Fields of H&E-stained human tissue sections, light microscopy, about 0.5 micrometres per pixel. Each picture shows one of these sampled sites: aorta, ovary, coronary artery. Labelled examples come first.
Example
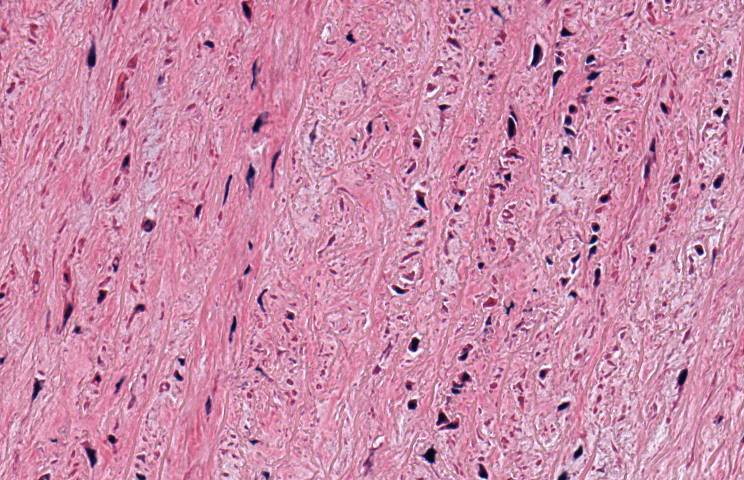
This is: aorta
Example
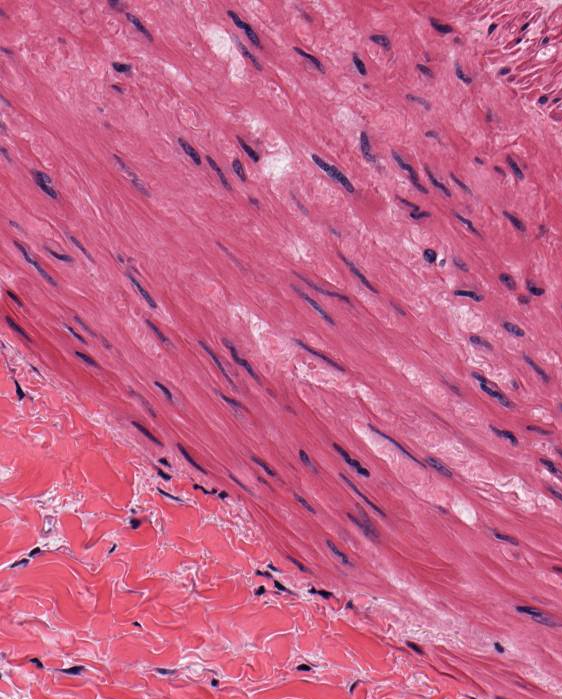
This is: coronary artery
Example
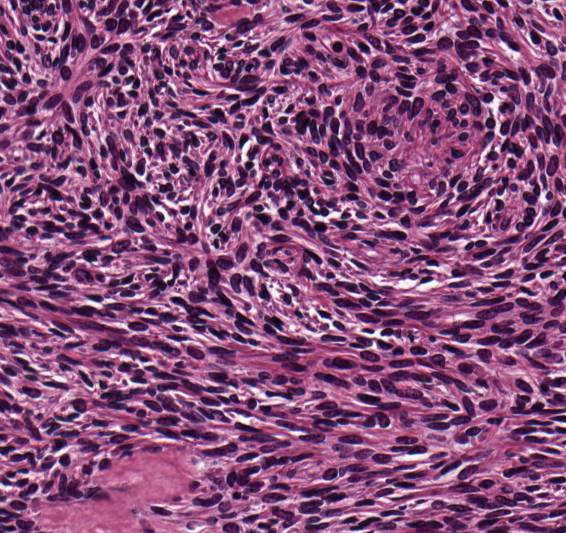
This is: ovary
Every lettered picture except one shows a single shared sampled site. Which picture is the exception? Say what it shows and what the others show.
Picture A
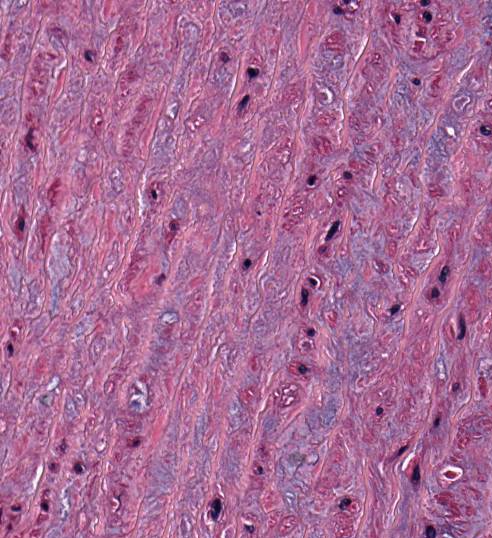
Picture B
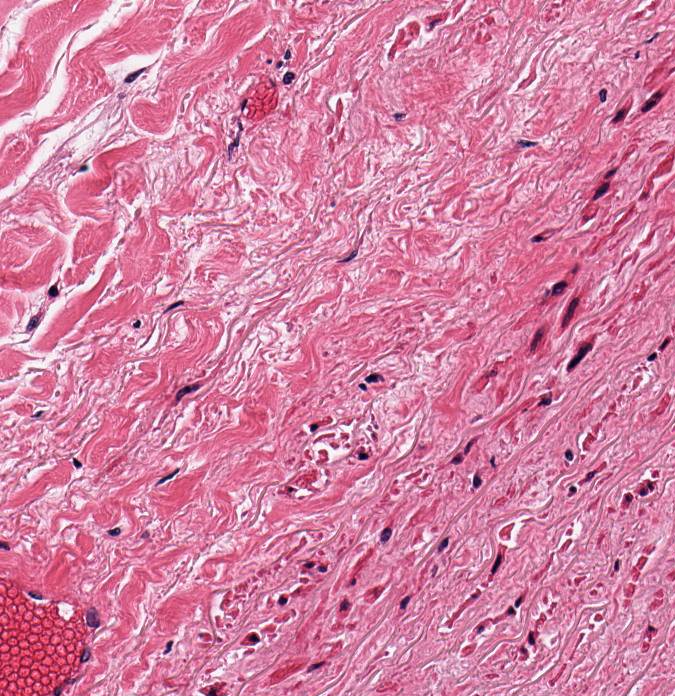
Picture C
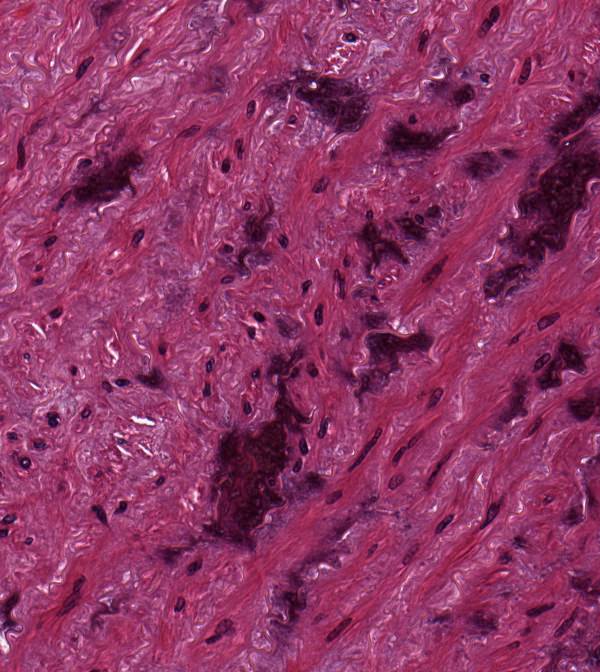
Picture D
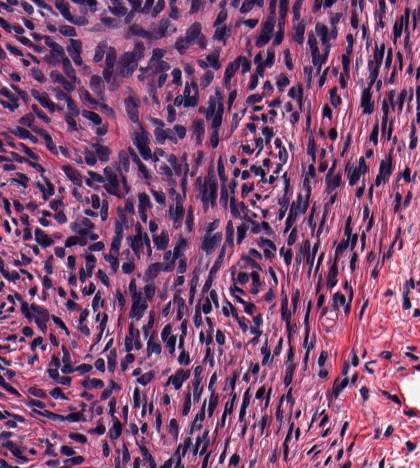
D (ovary) is the exception; every other picture is aorta.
